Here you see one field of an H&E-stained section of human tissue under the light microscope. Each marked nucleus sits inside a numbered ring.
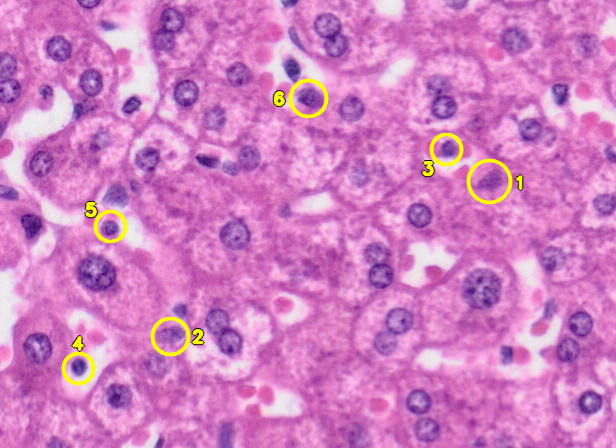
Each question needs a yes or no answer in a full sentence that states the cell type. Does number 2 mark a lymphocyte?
No, at number 2 sits a Kupffer cell, not a lymphocyte.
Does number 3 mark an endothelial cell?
No, the cell tagged 3 is a lymphocyte, not an endothelial cell.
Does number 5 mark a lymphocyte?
Yes, the cell that is numbered 5 is a lymphocyte.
